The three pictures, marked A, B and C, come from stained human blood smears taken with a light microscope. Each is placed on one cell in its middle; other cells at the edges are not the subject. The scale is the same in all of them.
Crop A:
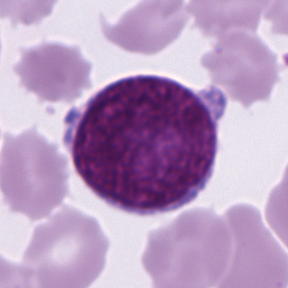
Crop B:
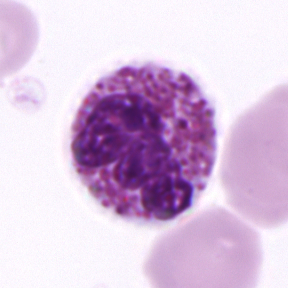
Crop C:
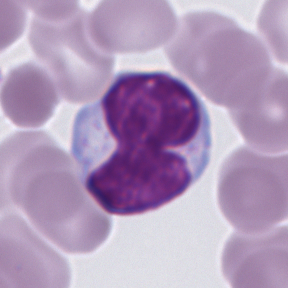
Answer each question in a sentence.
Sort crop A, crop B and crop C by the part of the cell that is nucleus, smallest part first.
The least filled comes first: B, C, A.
